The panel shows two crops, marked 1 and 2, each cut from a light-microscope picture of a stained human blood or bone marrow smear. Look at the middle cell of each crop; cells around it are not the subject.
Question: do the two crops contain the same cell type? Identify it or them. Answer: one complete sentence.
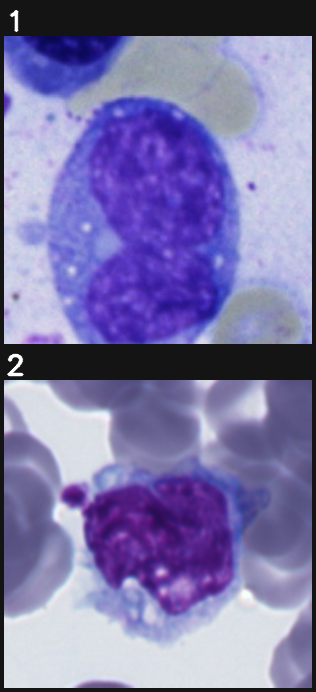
Yes, the middle cells in both crops are indeed monocytes.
